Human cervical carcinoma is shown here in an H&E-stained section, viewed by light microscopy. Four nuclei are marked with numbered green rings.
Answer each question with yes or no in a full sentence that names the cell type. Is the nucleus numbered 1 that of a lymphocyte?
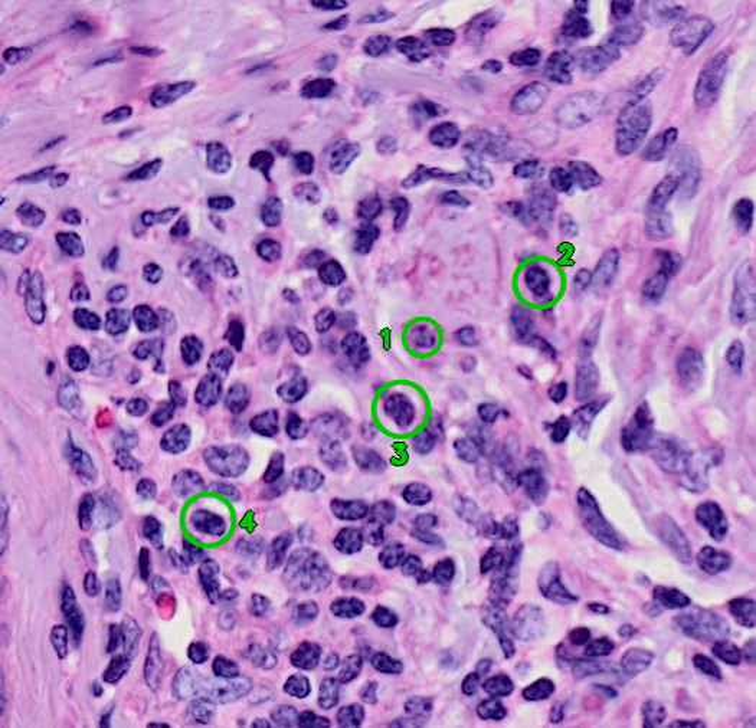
No, the cell given number 1 is a smooth muscle cell, not a lymphocyte.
